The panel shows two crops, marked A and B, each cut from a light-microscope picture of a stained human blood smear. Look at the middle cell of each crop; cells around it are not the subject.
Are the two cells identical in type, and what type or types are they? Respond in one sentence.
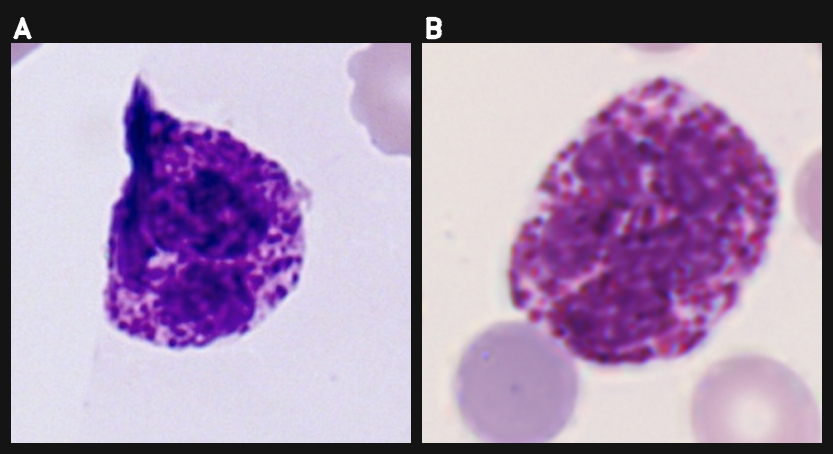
Yes, both crops show basophils, and nothing else needs adding.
